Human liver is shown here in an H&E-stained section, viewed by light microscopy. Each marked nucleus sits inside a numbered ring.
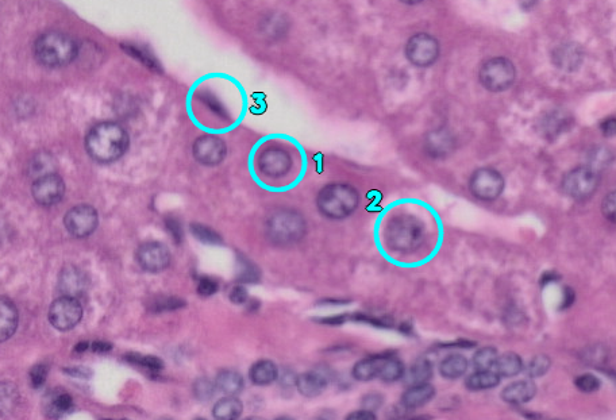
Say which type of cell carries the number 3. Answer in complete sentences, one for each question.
Corresponding to a fibroblast or stellate cell is the cell labelled 3.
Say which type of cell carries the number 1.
The cell that is numbered 1 is a hepatocyte.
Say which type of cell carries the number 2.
The marked cell with the number 2 is recognised as a hepatocyte.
